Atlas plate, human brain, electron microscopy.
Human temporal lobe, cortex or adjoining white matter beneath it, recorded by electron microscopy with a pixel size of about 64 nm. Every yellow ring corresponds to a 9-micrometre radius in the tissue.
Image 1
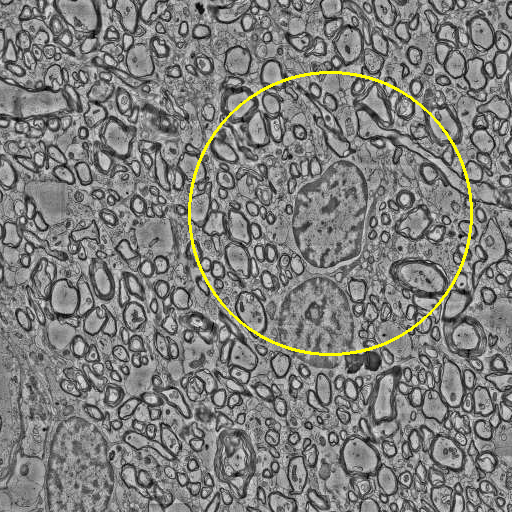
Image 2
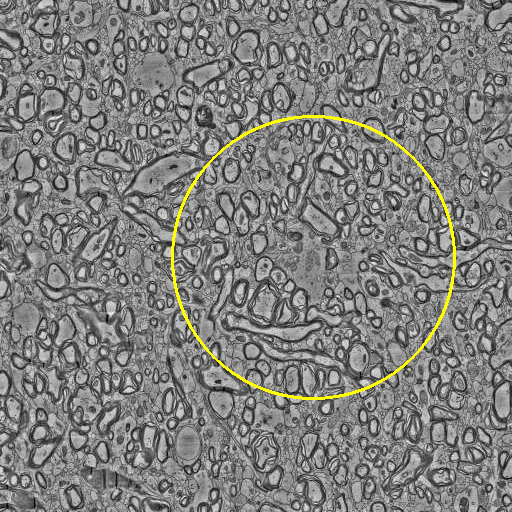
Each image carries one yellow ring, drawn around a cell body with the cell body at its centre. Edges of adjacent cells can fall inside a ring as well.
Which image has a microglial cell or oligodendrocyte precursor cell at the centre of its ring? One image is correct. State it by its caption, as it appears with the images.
Image 1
